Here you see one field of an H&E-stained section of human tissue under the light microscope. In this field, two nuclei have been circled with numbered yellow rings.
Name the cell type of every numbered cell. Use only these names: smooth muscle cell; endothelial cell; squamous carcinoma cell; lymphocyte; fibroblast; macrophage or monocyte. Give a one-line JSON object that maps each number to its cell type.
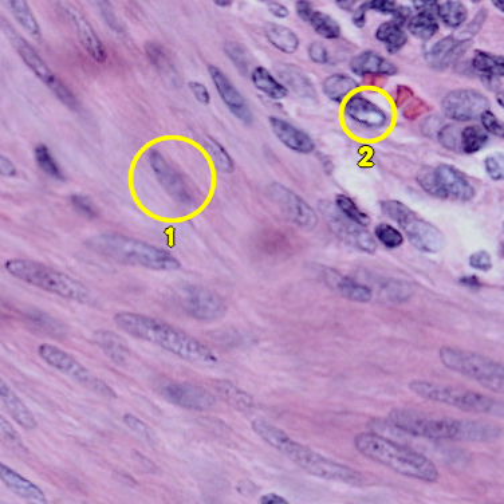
{"1": "smooth muscle cell", "2": "endothelial cell"}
